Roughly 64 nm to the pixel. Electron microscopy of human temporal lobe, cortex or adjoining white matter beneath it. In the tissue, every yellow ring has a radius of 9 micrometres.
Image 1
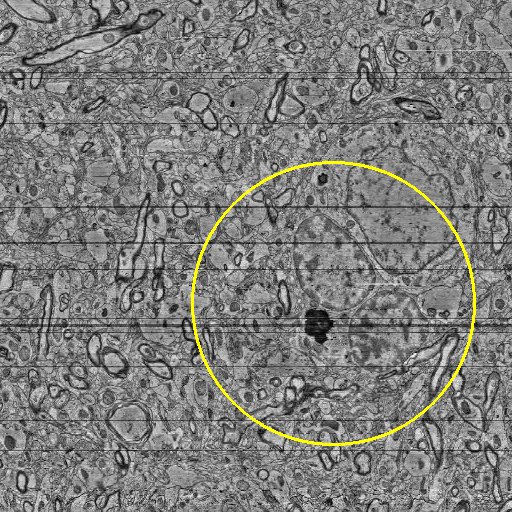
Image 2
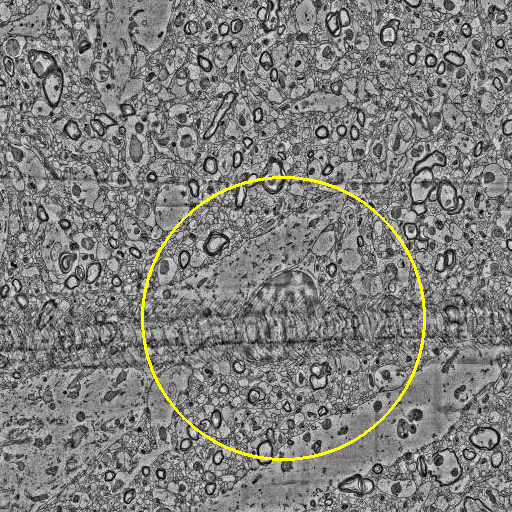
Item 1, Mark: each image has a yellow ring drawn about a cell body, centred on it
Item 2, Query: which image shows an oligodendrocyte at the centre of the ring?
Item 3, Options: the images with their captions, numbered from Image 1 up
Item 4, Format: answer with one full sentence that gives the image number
My answer is image 1, where the cell at the ring's centre fits.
